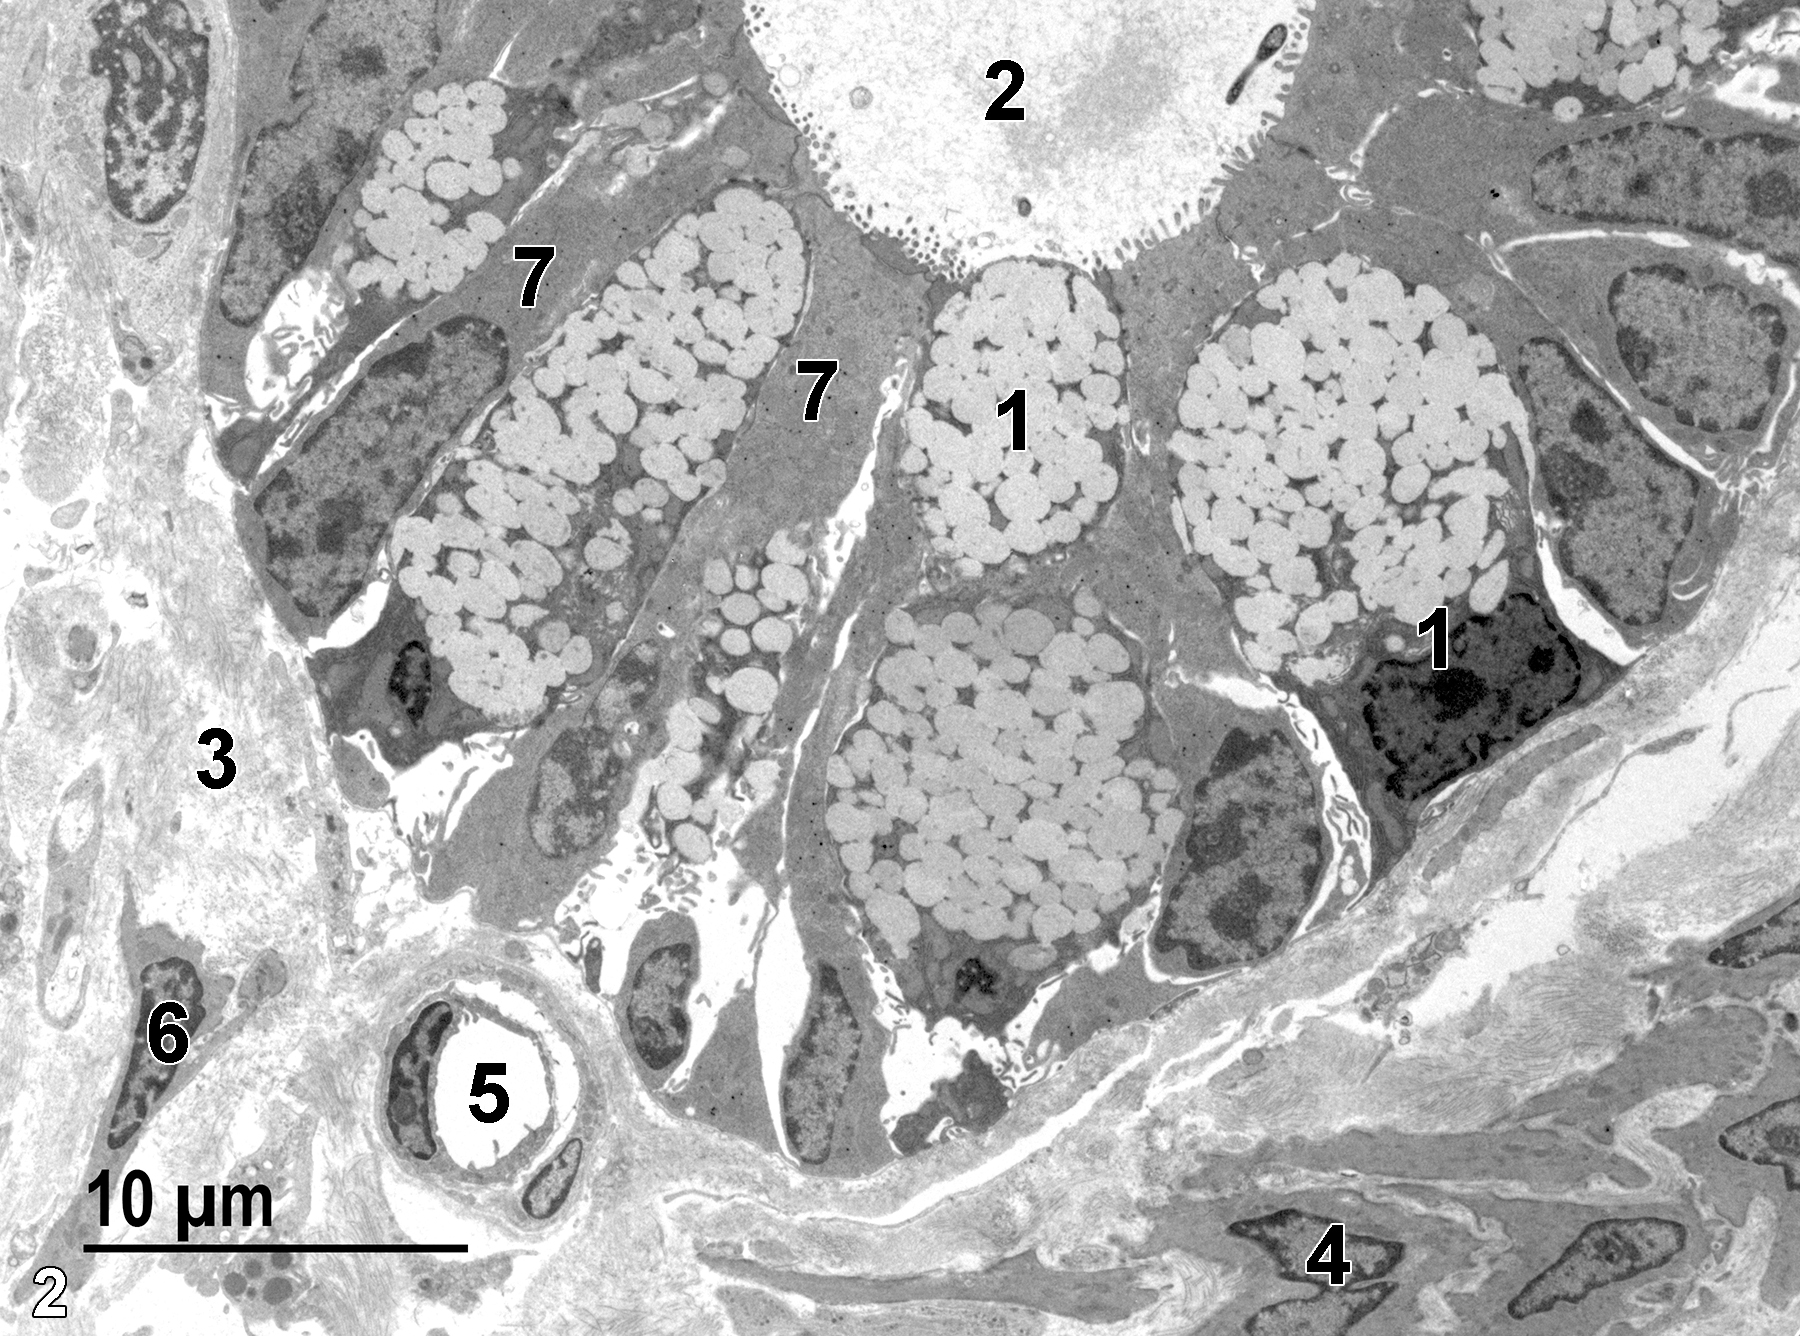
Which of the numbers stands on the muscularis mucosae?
4.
